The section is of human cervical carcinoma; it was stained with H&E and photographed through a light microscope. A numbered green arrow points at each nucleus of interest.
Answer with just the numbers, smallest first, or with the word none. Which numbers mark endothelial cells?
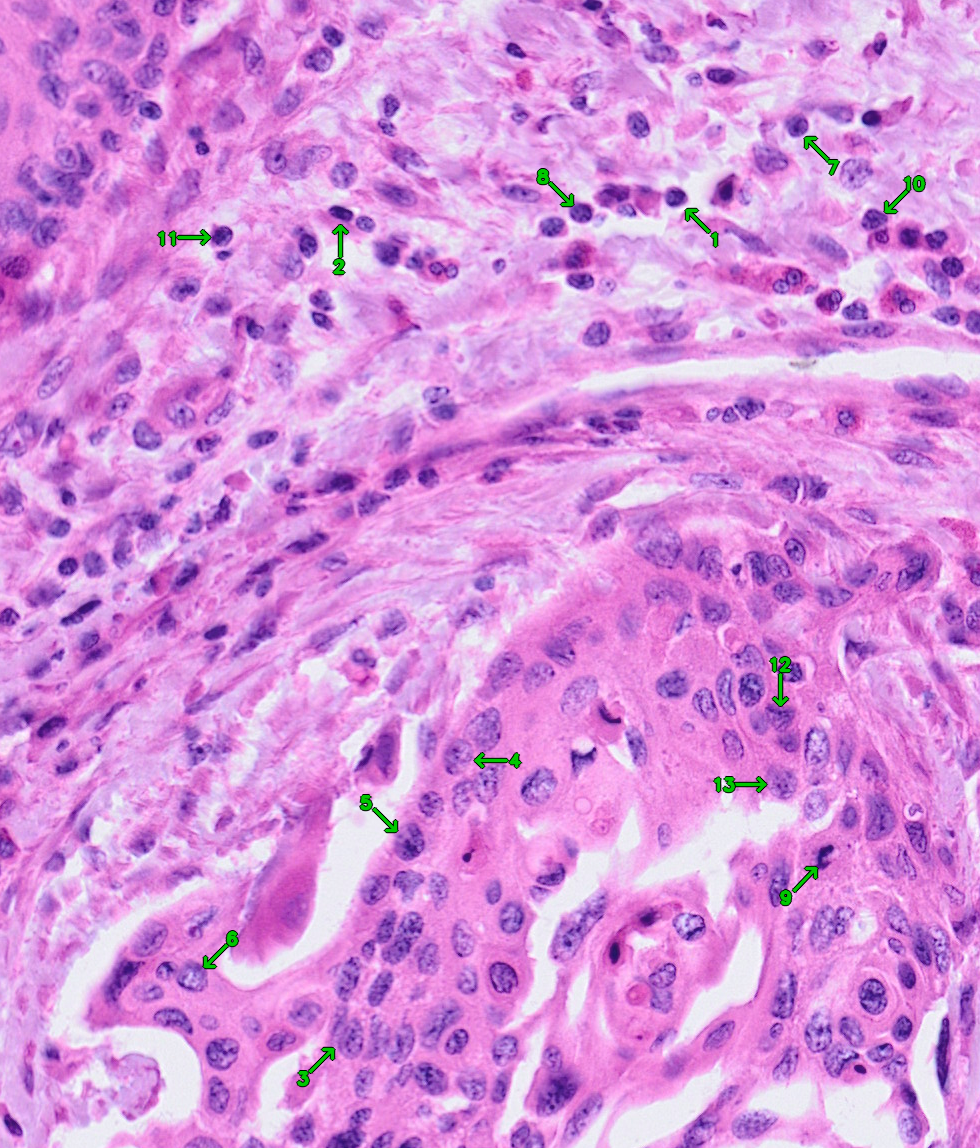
none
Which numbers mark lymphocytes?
1, 2, 7, 8, 10, 11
